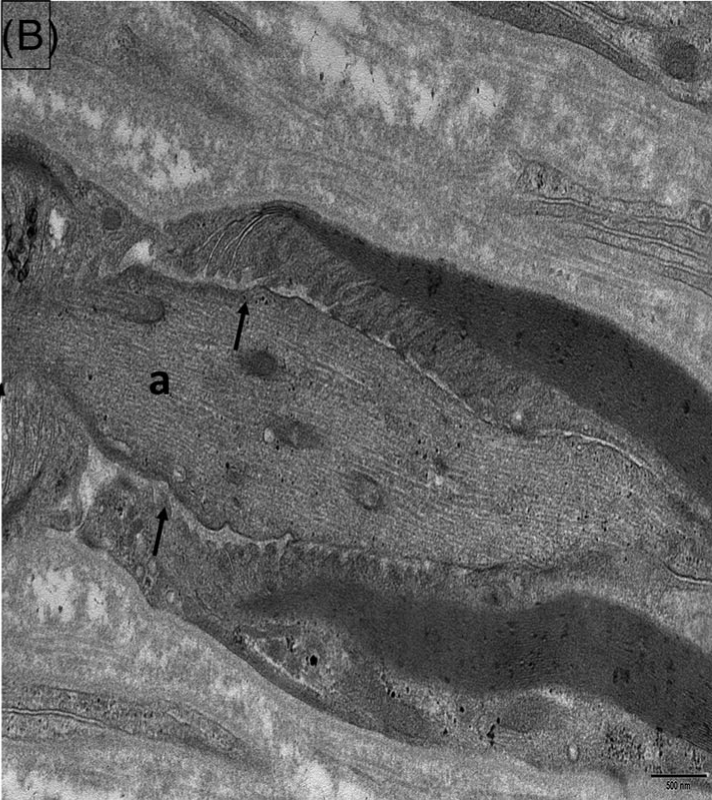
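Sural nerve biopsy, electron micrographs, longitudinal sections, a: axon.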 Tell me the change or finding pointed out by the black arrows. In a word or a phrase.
Transverse bands are missing.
